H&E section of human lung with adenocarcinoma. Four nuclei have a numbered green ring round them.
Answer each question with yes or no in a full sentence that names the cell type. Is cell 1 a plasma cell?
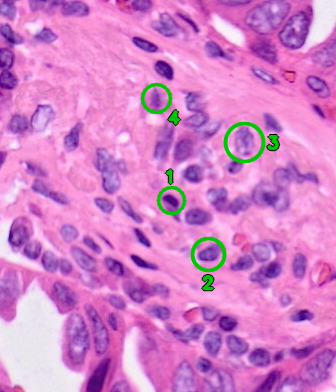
No, the cell with the number 1 is a lymphocyte, not a plasma cell.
